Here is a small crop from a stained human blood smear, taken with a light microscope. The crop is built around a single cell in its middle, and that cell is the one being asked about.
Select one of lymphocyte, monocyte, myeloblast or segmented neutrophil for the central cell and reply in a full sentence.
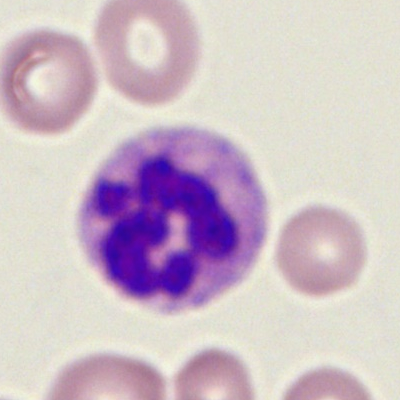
The middle position in this crop is taken by a segmented neutrophil.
